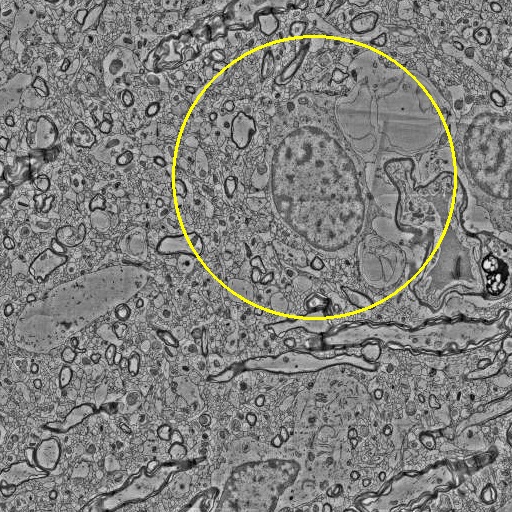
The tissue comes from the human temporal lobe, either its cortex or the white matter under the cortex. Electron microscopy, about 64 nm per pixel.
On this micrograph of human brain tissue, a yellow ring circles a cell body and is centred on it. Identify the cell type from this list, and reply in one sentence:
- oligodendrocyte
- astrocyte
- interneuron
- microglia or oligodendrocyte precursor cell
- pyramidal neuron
The cell at the centre is an oligodendrocyte.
